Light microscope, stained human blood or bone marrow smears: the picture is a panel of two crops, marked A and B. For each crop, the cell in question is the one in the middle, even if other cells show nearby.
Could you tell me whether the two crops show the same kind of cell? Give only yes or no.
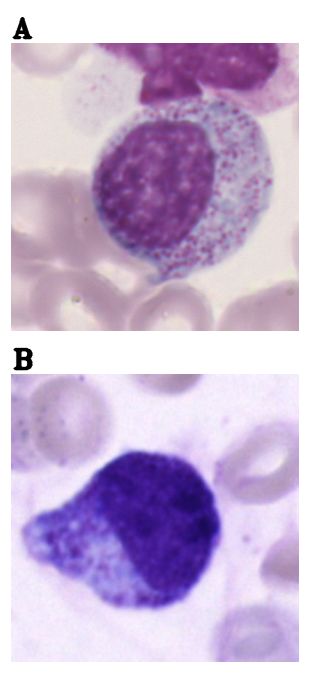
yes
